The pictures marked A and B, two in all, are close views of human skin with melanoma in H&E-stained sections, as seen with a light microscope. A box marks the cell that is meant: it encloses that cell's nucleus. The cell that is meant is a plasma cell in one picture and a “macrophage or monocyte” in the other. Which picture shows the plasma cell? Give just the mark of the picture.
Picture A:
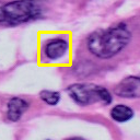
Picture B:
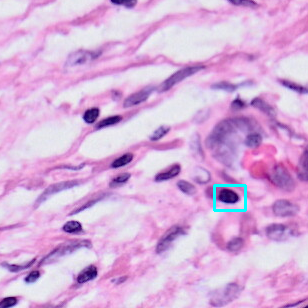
B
